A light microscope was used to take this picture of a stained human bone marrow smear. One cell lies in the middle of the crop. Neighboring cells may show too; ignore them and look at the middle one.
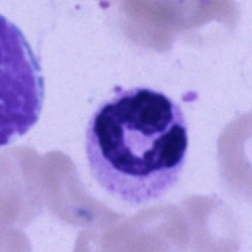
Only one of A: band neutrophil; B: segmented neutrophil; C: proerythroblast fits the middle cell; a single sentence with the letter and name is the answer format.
Option B gets it right: the cell in the middle is a segmented neutrophil.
